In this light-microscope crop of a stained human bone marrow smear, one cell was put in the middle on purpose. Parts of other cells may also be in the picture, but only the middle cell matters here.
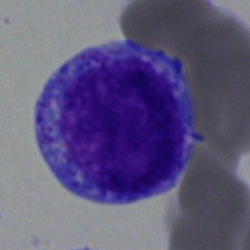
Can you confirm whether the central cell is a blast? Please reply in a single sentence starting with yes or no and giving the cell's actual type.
Yes, the crop is centred on a blast.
